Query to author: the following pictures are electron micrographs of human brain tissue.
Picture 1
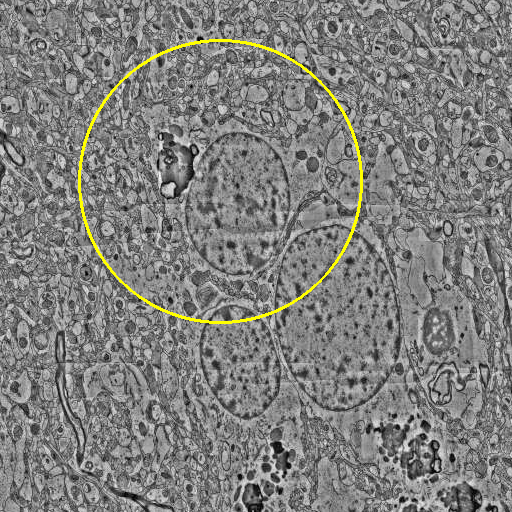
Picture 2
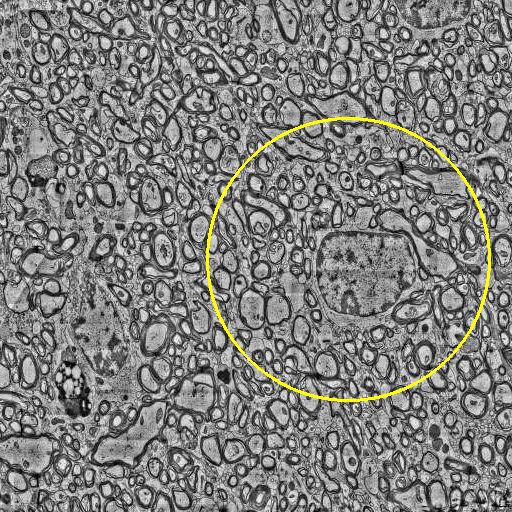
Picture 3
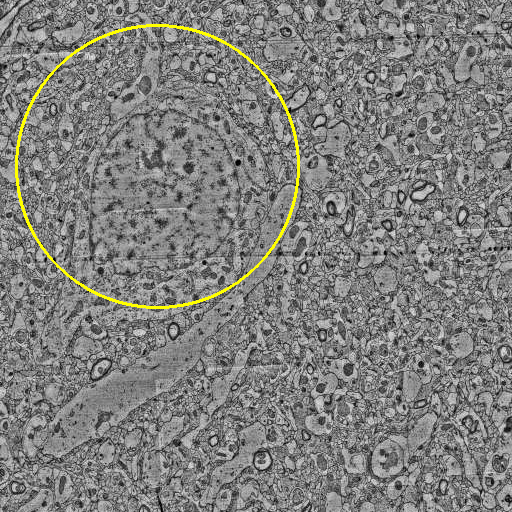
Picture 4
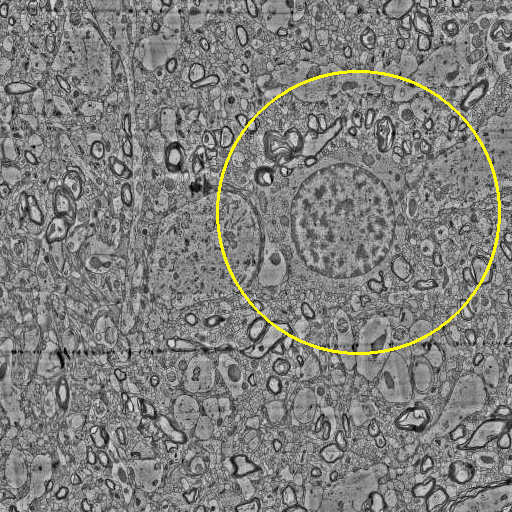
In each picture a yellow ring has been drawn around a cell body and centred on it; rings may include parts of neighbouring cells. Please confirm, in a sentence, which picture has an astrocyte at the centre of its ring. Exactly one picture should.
Picture 1 has it at the centre of its ring.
